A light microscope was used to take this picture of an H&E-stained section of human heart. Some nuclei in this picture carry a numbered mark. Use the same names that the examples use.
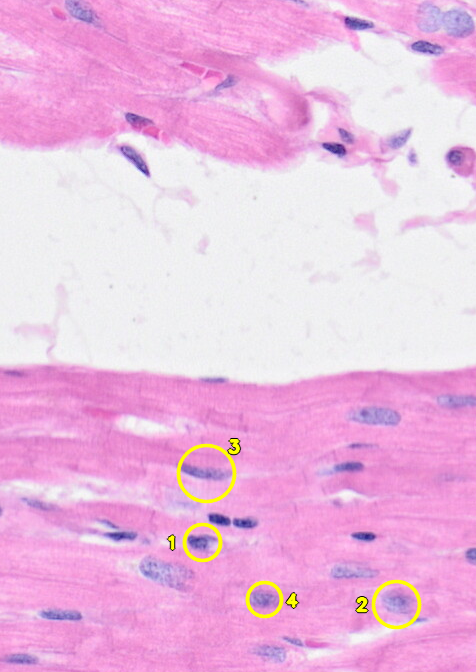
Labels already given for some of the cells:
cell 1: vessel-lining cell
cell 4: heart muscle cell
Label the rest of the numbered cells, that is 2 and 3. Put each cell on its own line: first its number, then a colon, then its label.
2: heart muscle cell
3: vessel-lining cell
